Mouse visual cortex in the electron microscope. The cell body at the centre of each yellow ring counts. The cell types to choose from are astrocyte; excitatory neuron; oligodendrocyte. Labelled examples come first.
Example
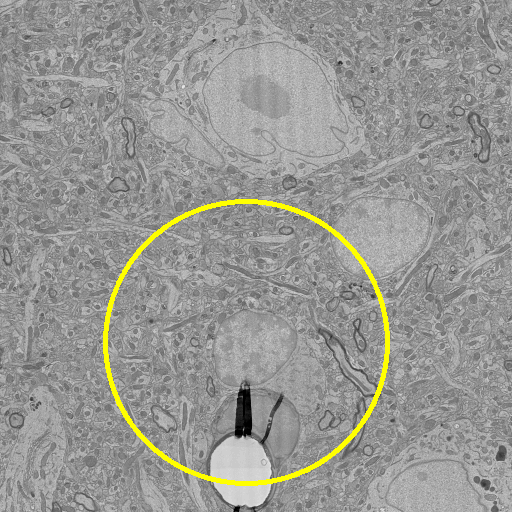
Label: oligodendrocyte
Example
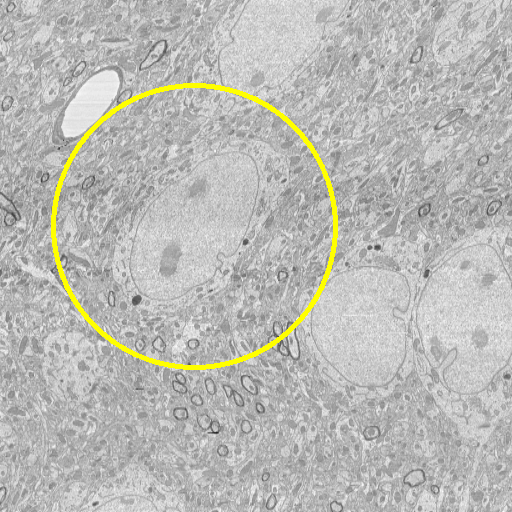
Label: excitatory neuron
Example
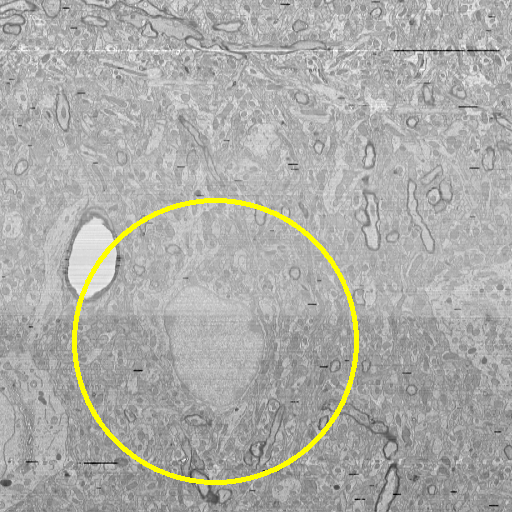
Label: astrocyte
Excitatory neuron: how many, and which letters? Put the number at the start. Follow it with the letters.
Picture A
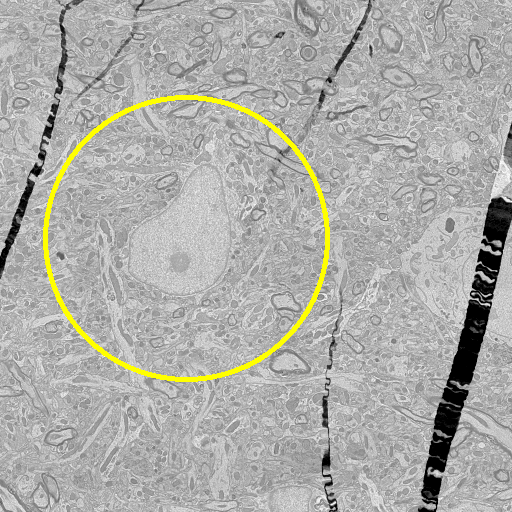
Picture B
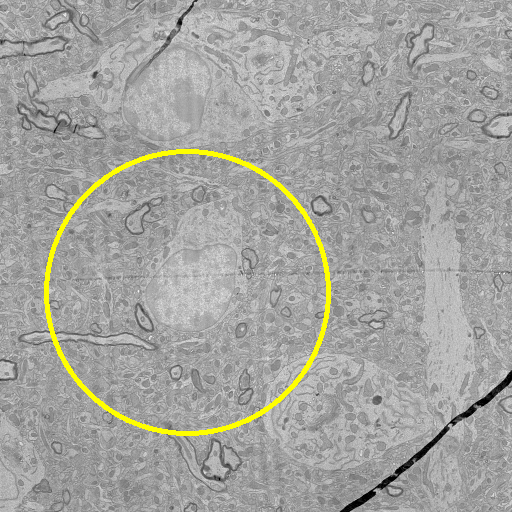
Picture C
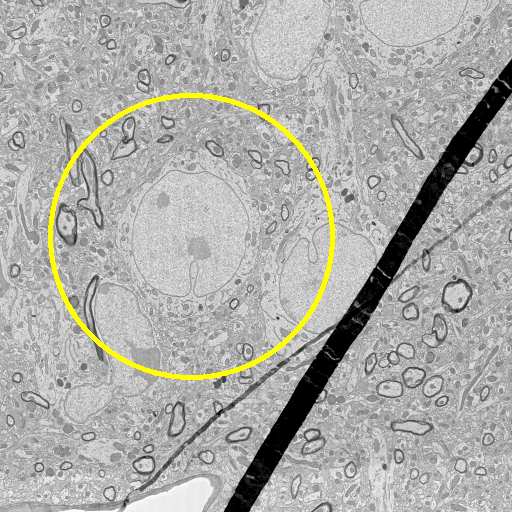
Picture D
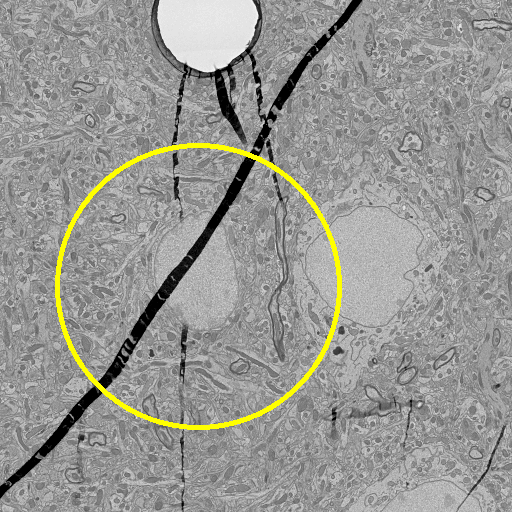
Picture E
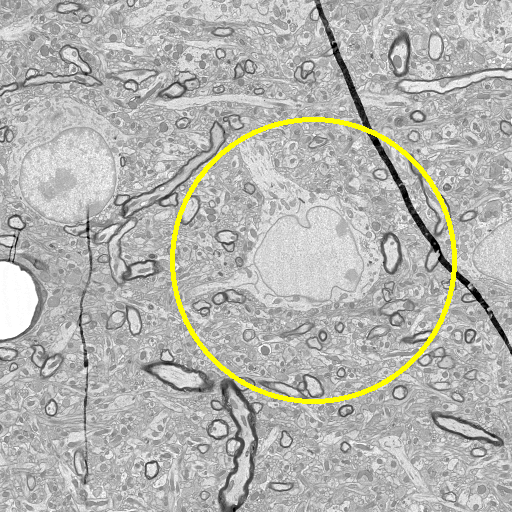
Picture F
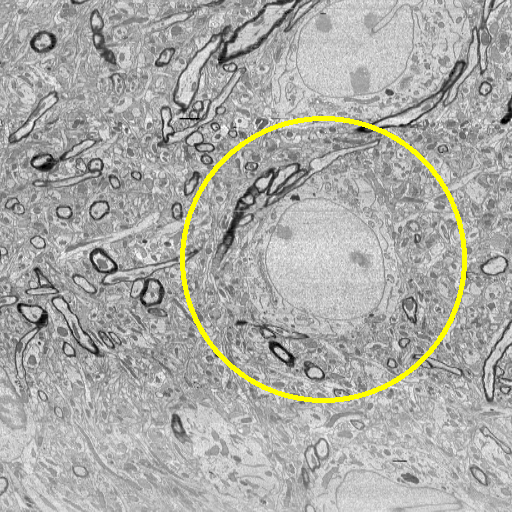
3, namely C, E, F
